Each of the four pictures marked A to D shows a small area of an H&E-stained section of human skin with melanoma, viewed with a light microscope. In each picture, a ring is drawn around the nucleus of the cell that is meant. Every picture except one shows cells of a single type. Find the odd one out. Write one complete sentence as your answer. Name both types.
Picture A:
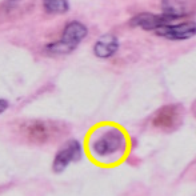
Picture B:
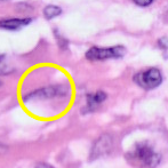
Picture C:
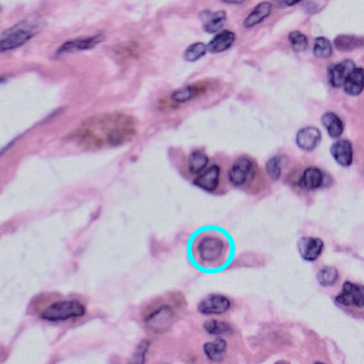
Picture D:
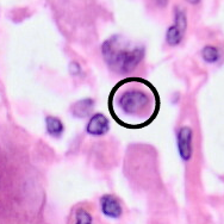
All pictures except B show “macrophages or monocytes”; picture B shows an endothelial cell.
